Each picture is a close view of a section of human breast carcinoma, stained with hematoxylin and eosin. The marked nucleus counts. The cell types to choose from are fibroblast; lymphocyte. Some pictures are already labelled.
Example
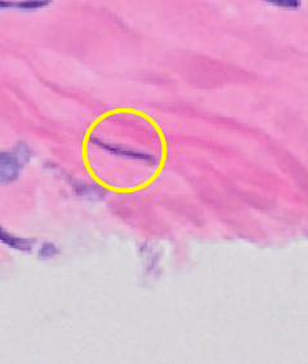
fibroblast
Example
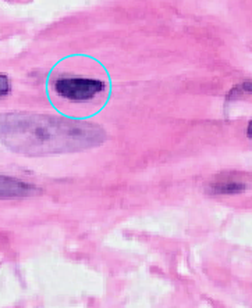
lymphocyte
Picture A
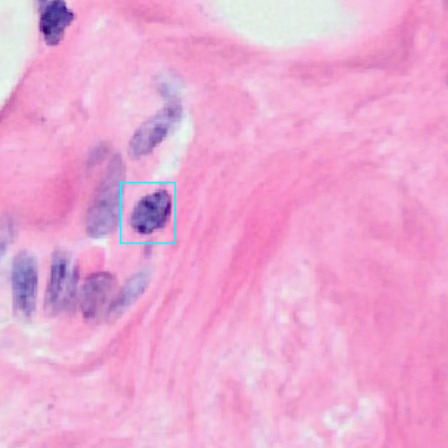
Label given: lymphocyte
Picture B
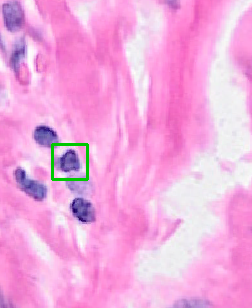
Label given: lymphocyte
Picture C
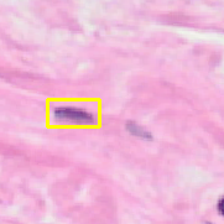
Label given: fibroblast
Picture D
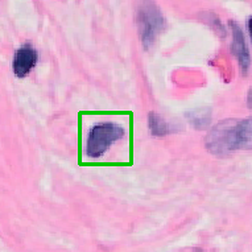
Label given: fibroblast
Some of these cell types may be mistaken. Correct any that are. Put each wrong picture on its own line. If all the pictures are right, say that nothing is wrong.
D is labelled fibroblast; correct label: lymphocyte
